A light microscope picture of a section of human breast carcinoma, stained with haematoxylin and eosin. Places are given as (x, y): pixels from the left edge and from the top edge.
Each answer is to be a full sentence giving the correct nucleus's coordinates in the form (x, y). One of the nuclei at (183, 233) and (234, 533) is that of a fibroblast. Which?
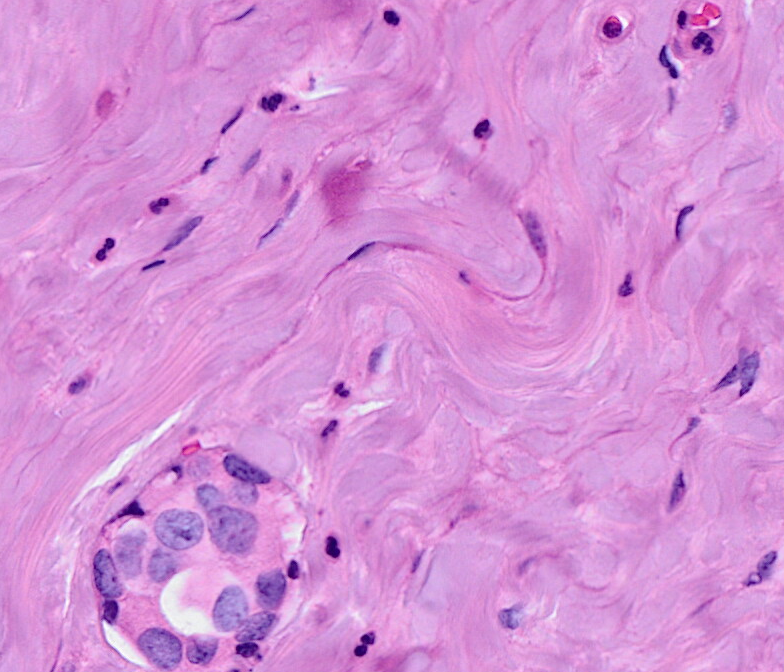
Rather than the other nucleus, the one at (183, 233) belongs to a fibroblast.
